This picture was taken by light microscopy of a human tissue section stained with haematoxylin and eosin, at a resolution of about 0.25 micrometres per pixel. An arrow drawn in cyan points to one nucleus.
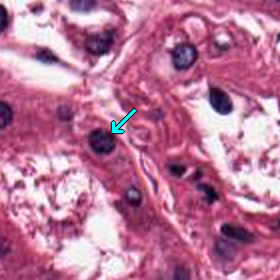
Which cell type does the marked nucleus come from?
proximal tubule cell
